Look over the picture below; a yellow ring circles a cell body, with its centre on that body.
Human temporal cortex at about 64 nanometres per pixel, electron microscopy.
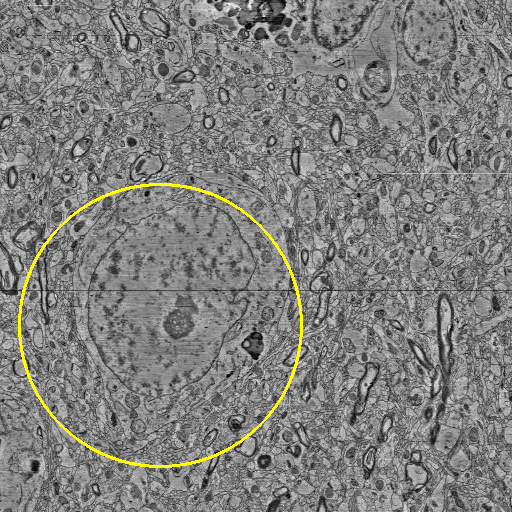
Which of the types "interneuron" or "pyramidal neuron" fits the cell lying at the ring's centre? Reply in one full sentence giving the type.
The picture shows a pyramidal neuron at the centre of the yellow ring.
